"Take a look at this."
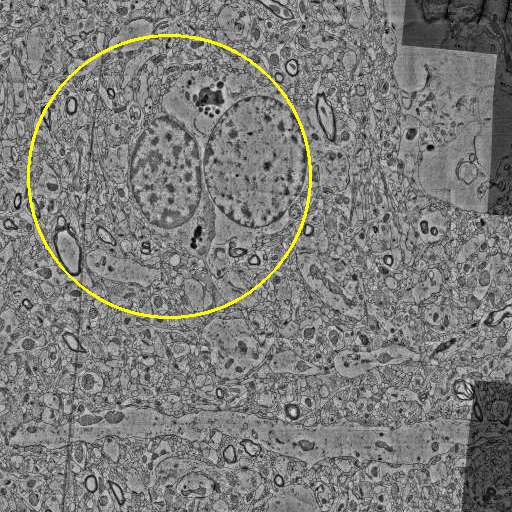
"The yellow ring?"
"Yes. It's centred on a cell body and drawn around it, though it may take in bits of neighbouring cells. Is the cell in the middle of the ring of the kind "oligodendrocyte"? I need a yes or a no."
Yes, it is of the kind asked about.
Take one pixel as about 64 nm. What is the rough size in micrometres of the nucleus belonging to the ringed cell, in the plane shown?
In this plane the nucleus measures roughly 7 by 5 micrometers.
